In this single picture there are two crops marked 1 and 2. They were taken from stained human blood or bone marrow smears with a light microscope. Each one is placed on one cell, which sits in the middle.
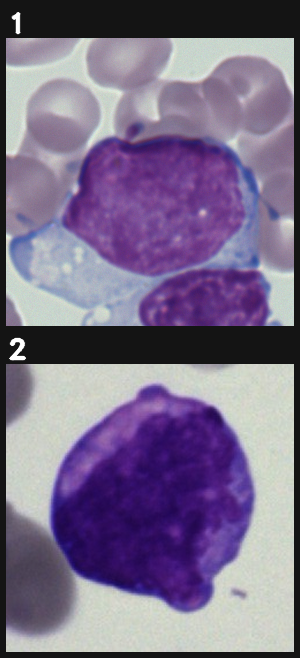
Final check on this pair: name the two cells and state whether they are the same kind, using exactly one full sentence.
Yes, the cells in the centres of the two crops are blasts.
